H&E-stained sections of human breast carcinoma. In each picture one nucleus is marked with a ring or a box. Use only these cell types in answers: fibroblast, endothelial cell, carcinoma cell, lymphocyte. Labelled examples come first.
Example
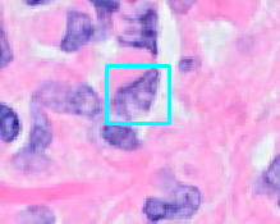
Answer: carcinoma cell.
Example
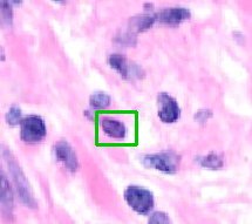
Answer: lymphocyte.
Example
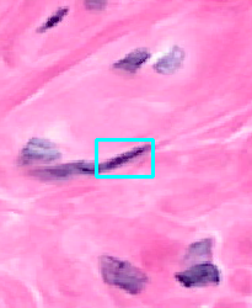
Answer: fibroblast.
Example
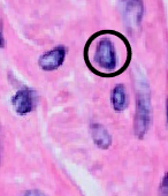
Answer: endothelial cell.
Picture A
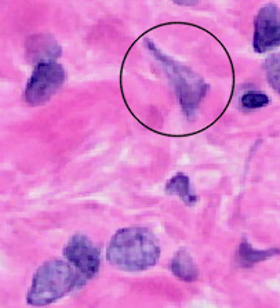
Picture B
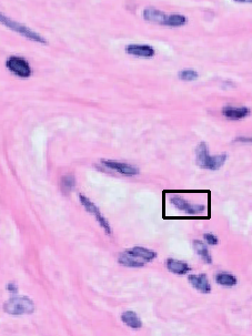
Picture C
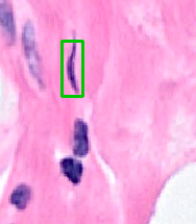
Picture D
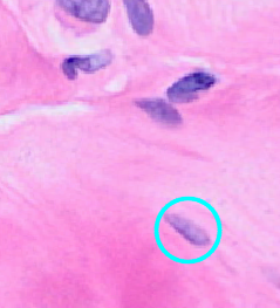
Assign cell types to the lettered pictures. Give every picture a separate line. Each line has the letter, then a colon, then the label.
A: fibroblast.
B: endothelial cell.
C: fibroblast.
D: fibroblast.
